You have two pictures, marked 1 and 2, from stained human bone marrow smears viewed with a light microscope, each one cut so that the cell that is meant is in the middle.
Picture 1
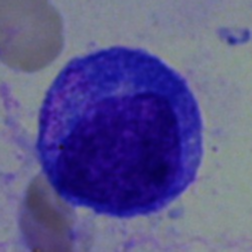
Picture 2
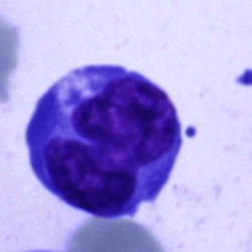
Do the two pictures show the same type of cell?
no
